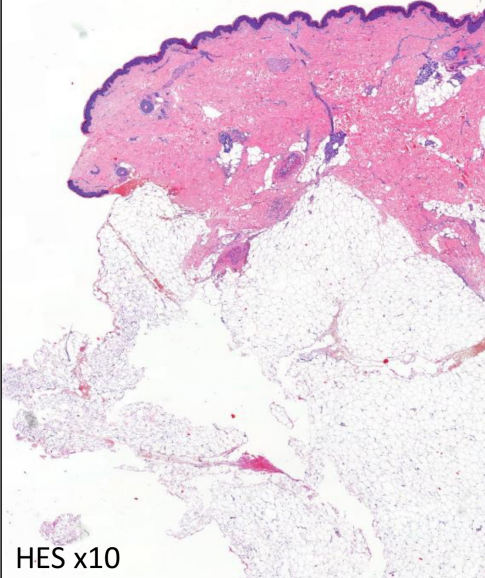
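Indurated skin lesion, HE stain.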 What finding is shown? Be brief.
coarse collagen fibers invading part of the hypodermis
